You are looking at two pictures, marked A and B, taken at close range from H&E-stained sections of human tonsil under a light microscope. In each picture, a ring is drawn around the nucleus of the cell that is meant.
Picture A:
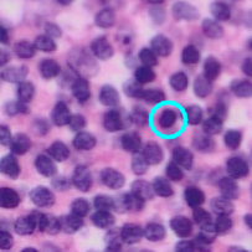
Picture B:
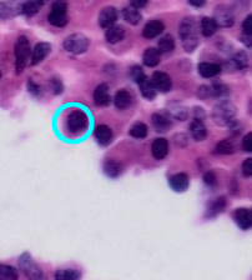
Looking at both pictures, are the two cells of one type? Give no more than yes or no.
no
